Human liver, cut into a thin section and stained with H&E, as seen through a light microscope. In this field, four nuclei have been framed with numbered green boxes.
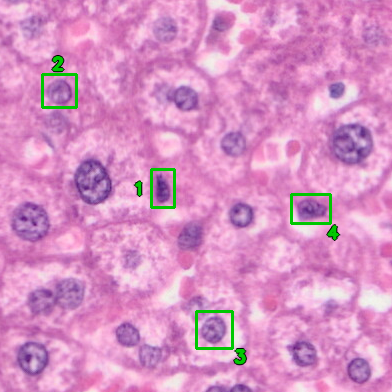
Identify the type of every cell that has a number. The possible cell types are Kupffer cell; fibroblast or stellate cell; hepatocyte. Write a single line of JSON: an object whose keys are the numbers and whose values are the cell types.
{"1": "fibroblast or stellate cell", "2": "hepatocyte", "3": "hepatocyte", "4": "Kupffer cell"}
